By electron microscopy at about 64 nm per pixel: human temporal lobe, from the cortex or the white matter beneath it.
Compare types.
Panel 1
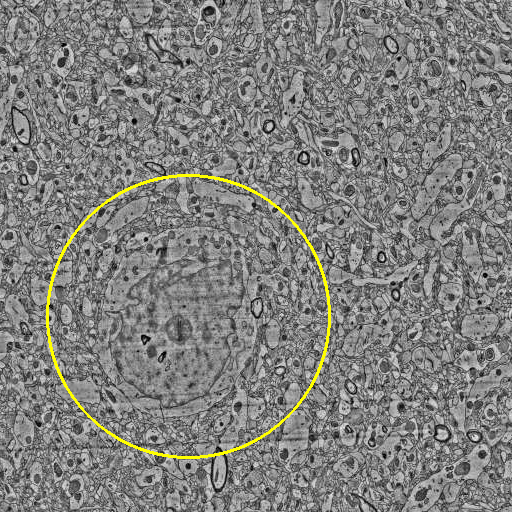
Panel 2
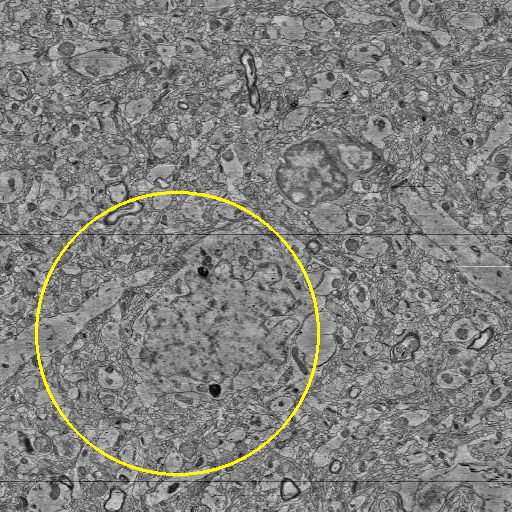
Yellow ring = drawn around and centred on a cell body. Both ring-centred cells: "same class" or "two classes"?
same class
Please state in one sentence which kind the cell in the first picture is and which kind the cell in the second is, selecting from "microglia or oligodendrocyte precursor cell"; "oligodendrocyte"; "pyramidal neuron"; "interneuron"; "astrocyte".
Each cell, in the first picture and the second, is an interneuron.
